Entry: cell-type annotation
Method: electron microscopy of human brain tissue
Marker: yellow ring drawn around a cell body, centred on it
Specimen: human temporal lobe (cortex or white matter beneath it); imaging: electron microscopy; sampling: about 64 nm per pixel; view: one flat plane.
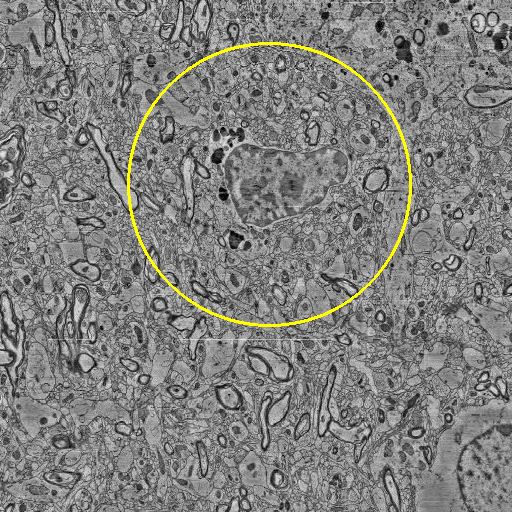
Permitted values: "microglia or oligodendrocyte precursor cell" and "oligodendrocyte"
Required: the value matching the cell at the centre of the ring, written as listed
microglia or oligodendrocyte precursor cell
